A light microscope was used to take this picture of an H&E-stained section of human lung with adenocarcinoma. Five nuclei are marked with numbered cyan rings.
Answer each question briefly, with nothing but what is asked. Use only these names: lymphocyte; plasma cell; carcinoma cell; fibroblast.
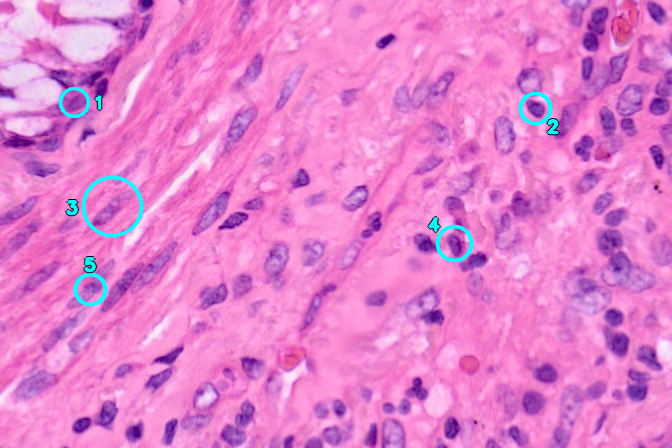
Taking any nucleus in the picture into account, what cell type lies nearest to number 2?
fibroblast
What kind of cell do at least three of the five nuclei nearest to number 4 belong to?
lymphocyte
